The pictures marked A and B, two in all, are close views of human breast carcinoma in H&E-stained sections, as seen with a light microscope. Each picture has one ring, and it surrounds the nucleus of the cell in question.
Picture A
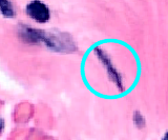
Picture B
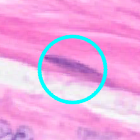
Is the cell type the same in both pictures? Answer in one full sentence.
Yes, the two pictures both show fibroblasts.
